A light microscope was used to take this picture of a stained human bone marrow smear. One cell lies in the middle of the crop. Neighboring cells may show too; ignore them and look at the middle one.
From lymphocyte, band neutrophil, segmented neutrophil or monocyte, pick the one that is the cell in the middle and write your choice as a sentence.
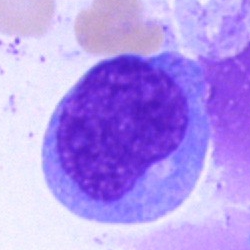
The cell in the middle of this crop is a monocyte.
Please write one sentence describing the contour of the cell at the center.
If you check the edge, you will find it smooth without projections.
